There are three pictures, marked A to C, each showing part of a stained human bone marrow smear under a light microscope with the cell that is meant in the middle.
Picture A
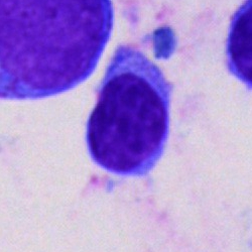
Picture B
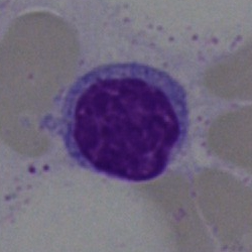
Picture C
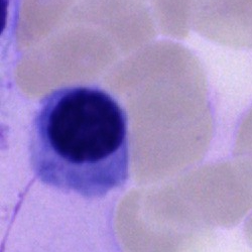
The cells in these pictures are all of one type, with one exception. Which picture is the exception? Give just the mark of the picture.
C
